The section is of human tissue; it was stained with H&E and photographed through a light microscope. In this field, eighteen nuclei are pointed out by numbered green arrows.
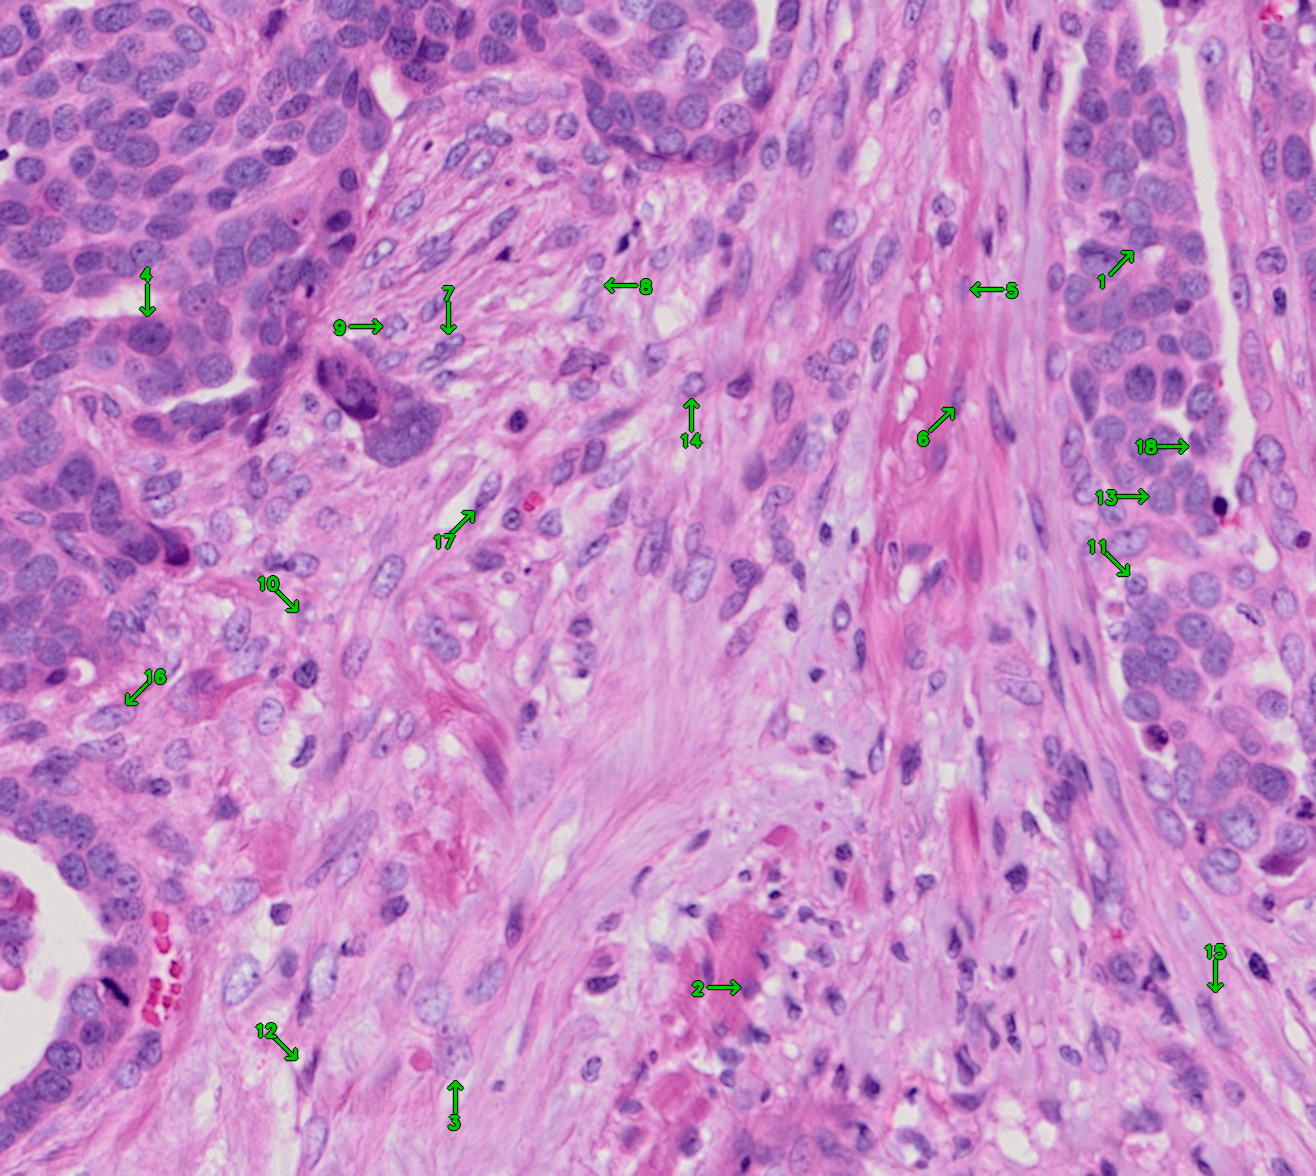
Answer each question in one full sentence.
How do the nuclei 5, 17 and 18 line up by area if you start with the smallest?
From smallest to largest, the order is 5, 18, 17.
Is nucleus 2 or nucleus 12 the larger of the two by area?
At about 2 times the area of nucleus 2, nucleus 12 is the larger of the two.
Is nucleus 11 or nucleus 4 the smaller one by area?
With nucleus 4 about 3 times its size, nucleus 11 is the smaller of the two.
